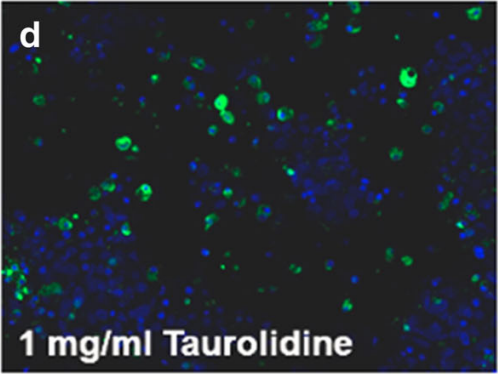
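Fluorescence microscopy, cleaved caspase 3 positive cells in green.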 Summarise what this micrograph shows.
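Scattered across the field are many cells filled with green fluorescence, most of them small and rounded, some with a brighter rim or compact bright centre. Besides these whole green cells there are numerous small green dots and fragments lying between the nuclei. The blue nuclei are less evenly spread than in a dense monolayer, with darker gaps in places.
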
